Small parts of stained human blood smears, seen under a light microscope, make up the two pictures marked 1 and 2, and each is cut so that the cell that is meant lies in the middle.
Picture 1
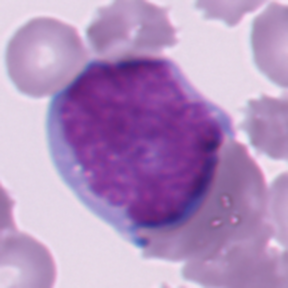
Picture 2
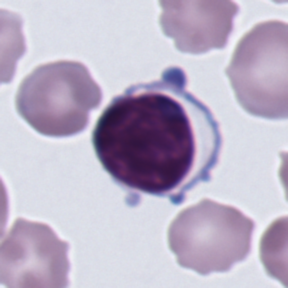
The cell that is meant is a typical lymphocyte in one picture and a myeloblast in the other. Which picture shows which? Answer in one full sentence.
Picture 1 shows a myeloblast and picture 2 shows a typical lymphocyte.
